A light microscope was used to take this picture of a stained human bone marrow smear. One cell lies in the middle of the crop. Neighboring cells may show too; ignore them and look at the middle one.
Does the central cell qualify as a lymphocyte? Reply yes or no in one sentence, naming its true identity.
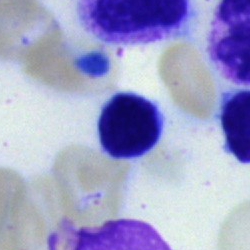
Yes, the cell in the middle of the crop is a lymphocyte.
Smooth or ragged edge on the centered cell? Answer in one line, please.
No projections interrupt the outline; it is smooth all the way round.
